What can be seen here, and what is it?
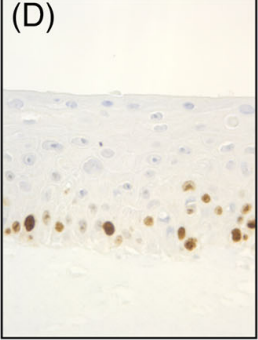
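Brown-stained round to oval nuclei are scattered along the bottom layer, with a few also one or two cells higher up. The upper cells are larger and polygonal with pale cytoplasm and blue nuclei.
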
